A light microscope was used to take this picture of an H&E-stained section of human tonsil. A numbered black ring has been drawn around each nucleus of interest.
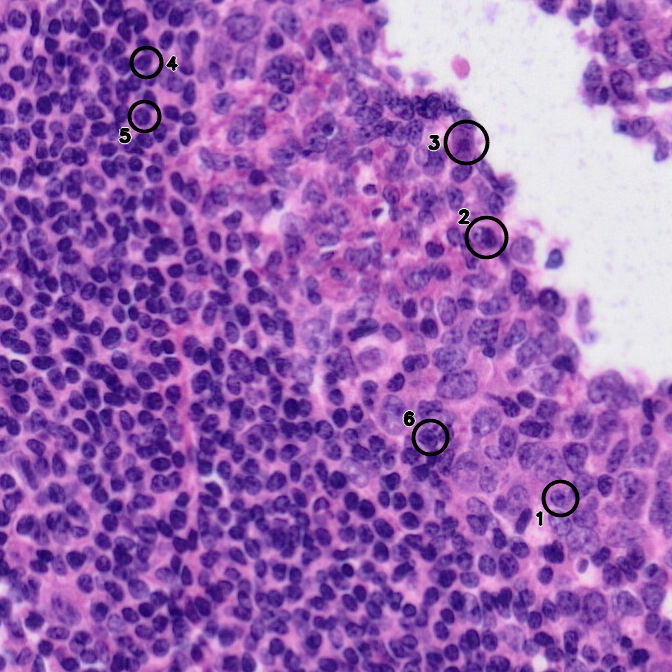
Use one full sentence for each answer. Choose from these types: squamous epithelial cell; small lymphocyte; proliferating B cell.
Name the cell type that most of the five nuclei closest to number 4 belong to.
Small lymphocytes make up most of the five nuclei closest to number 4.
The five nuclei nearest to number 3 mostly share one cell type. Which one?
Proliferating B cells make up most of the five nuclei closest to number 3.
